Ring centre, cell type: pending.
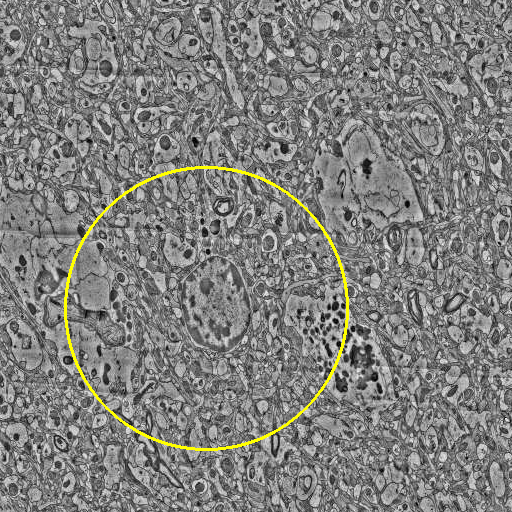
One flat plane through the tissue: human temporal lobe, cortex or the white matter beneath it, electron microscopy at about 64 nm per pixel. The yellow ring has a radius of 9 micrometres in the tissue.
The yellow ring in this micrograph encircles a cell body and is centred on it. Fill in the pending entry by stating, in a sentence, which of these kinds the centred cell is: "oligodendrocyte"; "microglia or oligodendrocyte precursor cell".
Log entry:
The centred cell is recorded as a microglial cell or oligodendrocyte precursor cell.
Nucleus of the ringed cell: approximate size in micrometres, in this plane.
Approximately 6 x 4 micrometres in this plane.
